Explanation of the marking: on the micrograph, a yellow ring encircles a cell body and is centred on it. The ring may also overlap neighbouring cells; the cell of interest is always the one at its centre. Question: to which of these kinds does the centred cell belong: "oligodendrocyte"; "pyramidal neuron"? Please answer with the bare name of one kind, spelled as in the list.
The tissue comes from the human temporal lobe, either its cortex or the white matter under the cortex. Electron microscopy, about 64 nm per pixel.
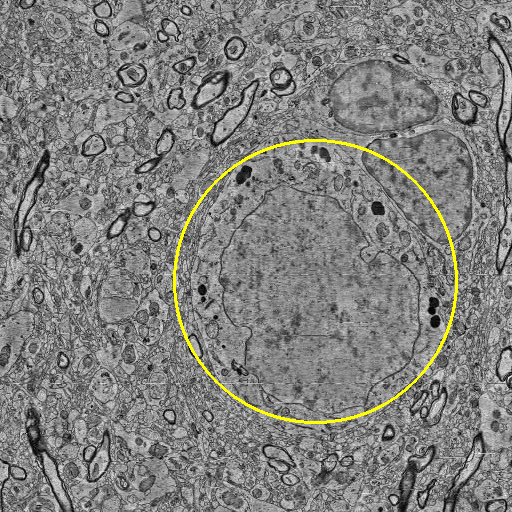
pyramidal neuron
